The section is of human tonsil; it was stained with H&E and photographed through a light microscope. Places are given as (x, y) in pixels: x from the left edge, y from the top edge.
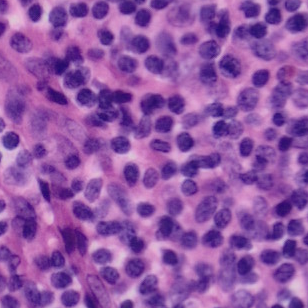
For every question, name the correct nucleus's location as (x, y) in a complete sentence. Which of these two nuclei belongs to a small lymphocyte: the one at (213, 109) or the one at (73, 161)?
Of the pair, the nucleus positioned at (213, 109) is that of a small lymphocyte.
